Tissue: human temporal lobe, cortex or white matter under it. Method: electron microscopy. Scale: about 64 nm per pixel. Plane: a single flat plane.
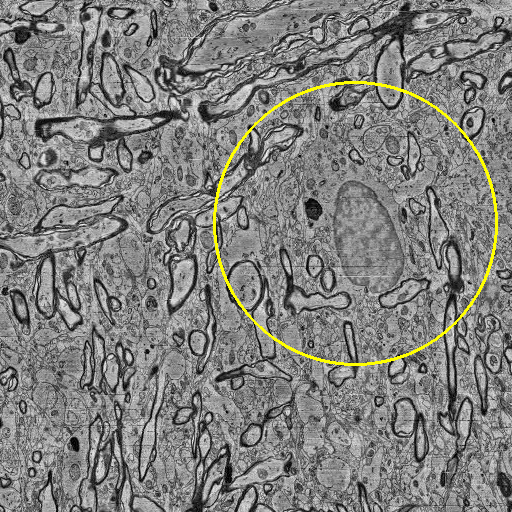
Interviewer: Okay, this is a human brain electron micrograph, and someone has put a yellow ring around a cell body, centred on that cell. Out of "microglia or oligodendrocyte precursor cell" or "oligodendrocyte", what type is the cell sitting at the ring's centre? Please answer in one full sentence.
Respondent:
The cell at the centre of the yellow ring in this picture is an oligodendrocyte.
